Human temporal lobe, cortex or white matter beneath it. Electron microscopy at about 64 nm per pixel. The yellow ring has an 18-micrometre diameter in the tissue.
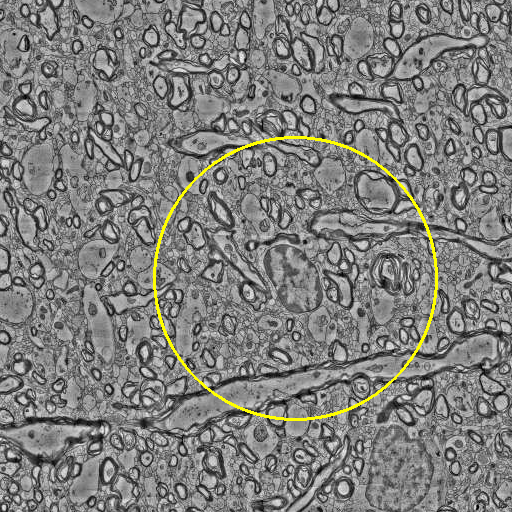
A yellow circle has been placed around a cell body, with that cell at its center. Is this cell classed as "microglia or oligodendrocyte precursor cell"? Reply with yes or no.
Yes, it belongs to that class.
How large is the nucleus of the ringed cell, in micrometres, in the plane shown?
About 5 by 3 micrometers; the nucleus is clearly longer than it is wide in this plane.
